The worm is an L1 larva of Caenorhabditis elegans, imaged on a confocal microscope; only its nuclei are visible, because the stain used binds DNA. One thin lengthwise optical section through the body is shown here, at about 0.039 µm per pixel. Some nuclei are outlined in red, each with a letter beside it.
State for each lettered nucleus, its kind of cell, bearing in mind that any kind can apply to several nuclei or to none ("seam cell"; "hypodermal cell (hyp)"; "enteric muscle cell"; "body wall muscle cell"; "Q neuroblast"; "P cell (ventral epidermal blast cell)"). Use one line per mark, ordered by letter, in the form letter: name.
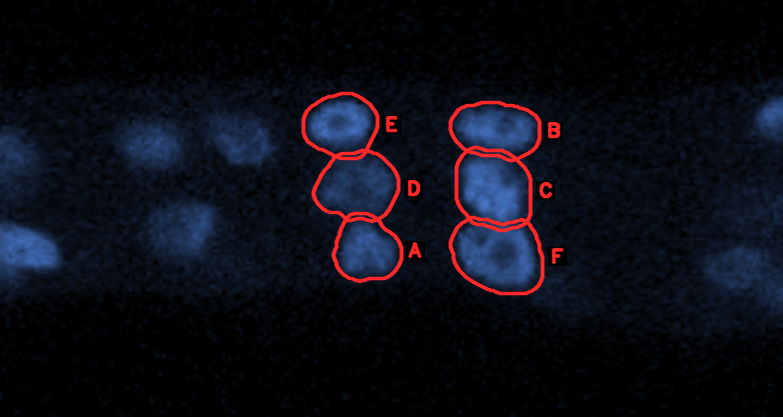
A: P cell (ventral epidermal blast cell)
B: body wall muscle cell
C: Q neuroblast
D: hypodermal cell (hyp)
E: body wall muscle cell
F: seam cell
